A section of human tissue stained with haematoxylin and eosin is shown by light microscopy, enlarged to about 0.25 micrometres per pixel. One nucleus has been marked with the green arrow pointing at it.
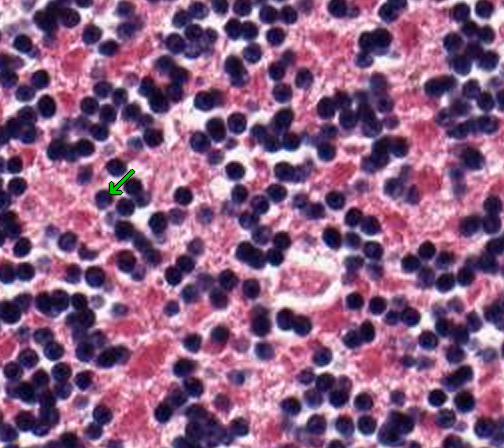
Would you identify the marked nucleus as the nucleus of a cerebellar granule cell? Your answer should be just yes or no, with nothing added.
yes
